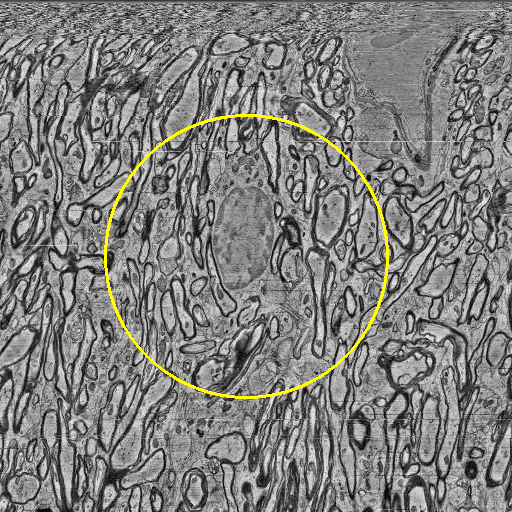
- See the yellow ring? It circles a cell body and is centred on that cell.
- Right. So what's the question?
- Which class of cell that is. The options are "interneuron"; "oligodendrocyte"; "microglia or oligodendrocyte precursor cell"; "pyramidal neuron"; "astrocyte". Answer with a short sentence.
The centre of the ring holds an oligodendrocyte.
